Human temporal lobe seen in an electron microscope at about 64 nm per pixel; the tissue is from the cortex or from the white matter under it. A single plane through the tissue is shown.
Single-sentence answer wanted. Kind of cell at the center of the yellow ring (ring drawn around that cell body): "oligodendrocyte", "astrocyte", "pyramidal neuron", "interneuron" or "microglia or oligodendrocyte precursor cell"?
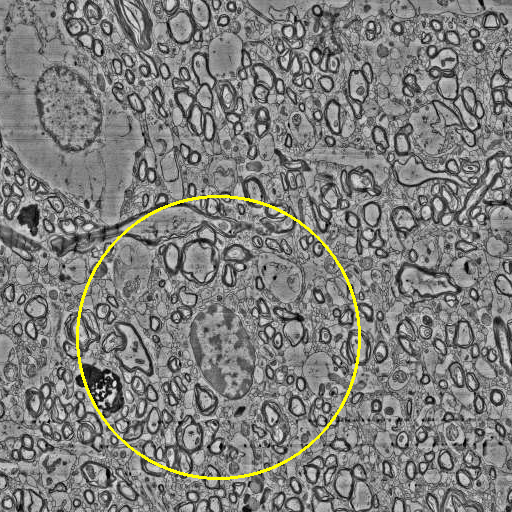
The cell centered in the ring is a microglial cell or oligodendrocyte precursor cell.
